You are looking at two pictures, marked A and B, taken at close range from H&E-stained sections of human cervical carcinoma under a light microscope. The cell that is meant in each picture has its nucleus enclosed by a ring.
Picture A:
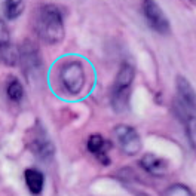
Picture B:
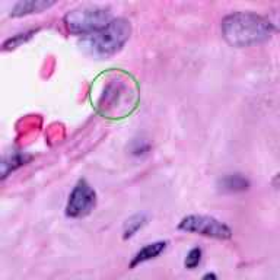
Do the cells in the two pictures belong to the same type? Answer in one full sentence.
Yes, both are endothelial cells.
